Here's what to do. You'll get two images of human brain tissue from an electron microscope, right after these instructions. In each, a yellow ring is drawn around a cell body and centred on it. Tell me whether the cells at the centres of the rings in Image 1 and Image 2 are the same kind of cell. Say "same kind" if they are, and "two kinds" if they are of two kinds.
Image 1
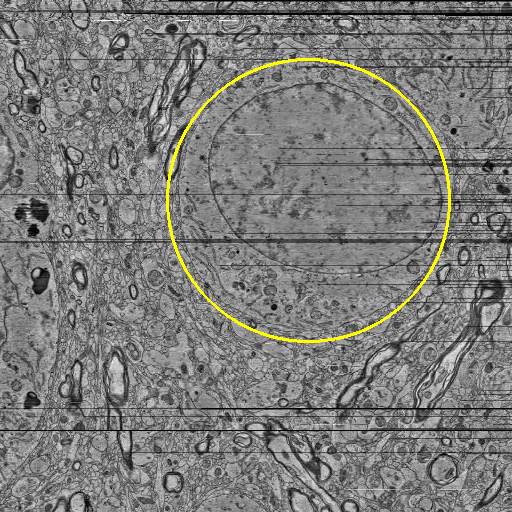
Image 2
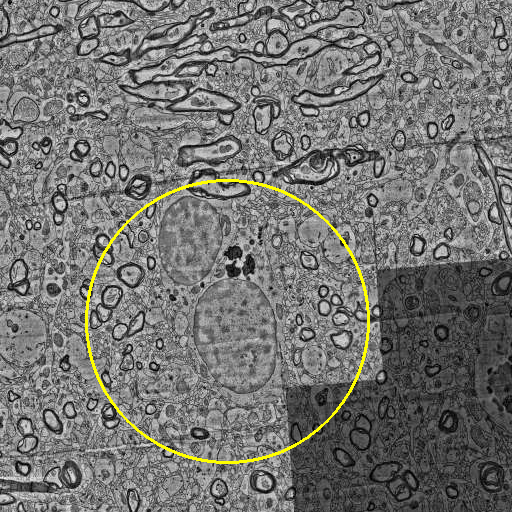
two kinds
